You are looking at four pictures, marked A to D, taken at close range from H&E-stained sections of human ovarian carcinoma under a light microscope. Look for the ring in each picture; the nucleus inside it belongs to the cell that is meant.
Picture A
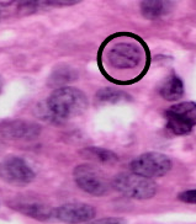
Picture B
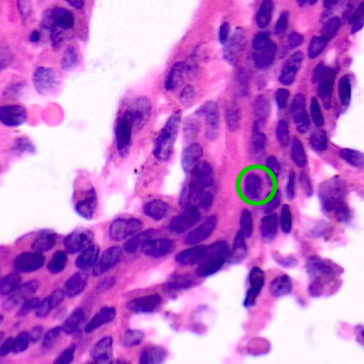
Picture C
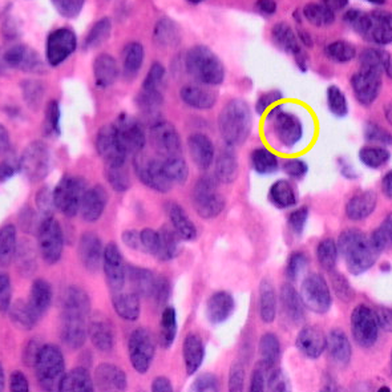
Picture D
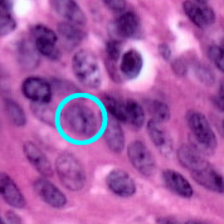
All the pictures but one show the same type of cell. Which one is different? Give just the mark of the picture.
A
